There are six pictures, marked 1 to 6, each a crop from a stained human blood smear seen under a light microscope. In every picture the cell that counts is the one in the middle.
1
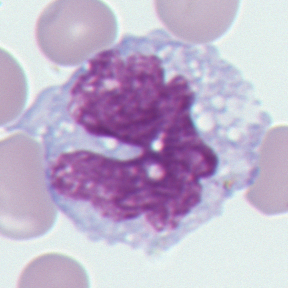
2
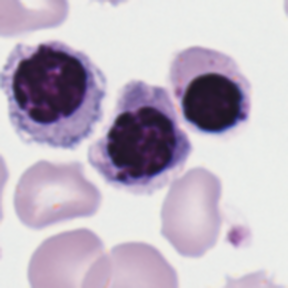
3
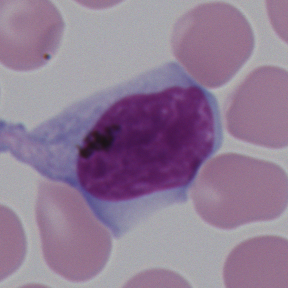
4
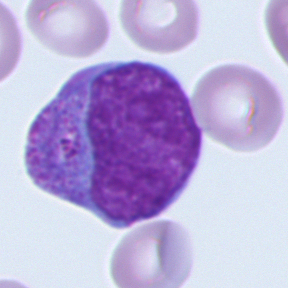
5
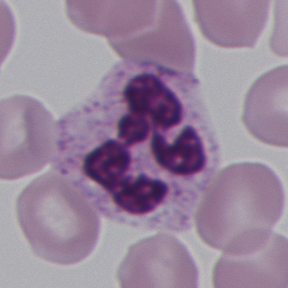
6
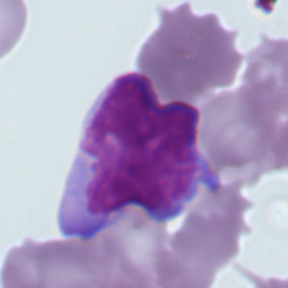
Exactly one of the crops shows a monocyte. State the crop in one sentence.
The crop carrying a monocyte at the center is crop 1.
